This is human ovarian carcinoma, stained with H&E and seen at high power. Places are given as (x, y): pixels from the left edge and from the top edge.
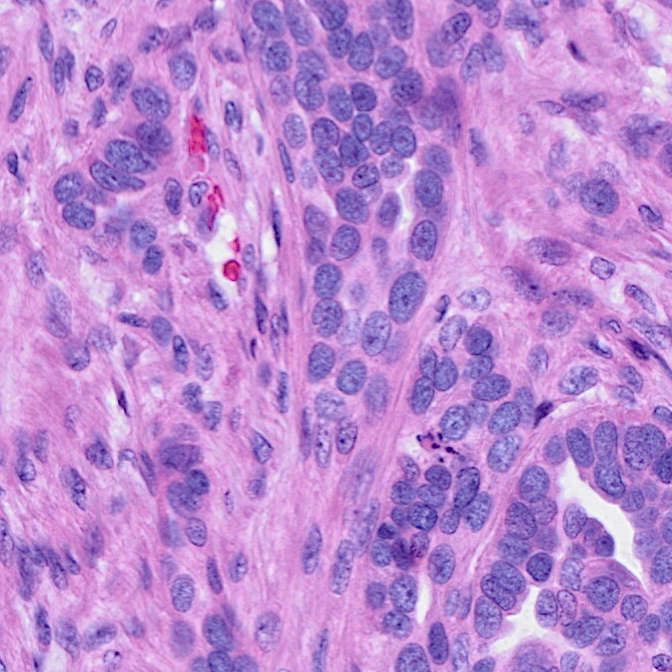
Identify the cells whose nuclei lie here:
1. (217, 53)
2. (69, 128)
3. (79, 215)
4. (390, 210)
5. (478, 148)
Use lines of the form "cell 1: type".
cell 1: fibroblast
cell 2: fibroblast
cell 3: carcinoma cell
cell 4: carcinoma cell
cell 5: fibroblast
